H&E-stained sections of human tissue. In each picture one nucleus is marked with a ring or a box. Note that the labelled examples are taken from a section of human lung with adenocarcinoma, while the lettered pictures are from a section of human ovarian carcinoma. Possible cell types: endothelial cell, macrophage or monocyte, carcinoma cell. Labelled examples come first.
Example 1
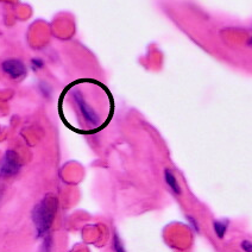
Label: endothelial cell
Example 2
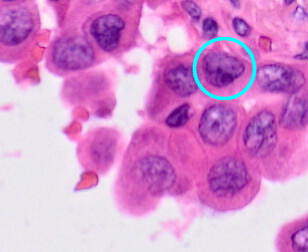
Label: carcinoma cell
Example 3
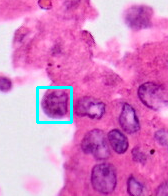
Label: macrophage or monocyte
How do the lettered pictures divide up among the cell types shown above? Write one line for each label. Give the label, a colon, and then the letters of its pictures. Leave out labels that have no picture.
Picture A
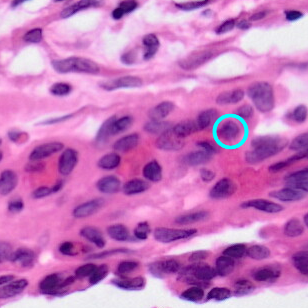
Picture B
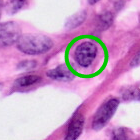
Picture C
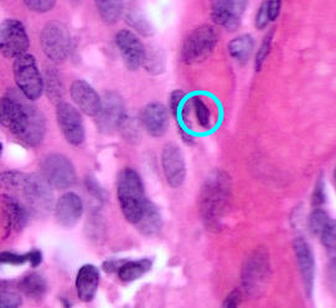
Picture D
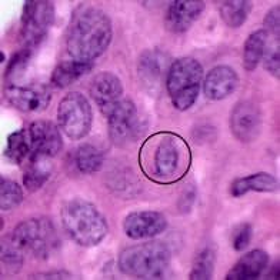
endothelial cell: A, C, D
macrophage or monocyte: B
